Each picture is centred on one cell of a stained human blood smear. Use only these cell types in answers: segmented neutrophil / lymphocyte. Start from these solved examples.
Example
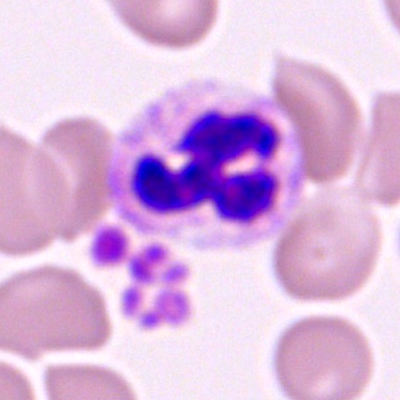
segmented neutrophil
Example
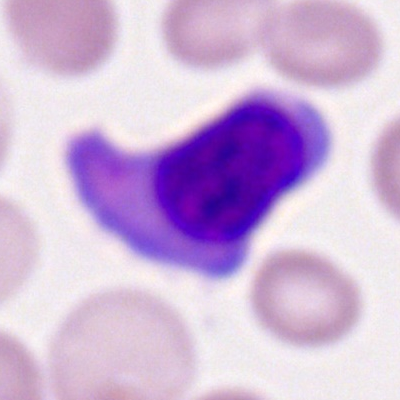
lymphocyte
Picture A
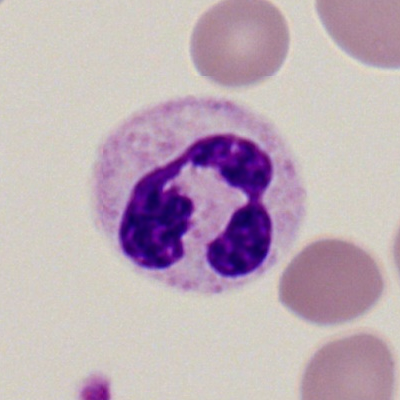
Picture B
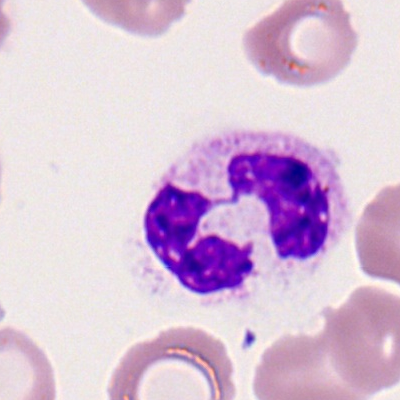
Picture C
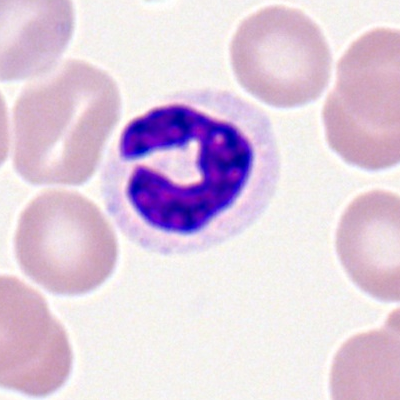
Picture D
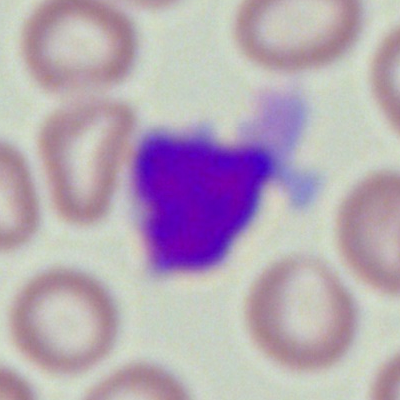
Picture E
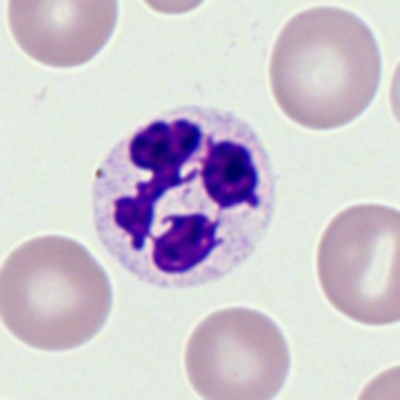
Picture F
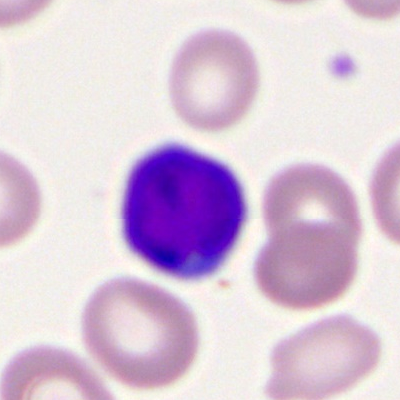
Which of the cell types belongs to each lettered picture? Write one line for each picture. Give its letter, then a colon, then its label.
A: segmented neutrophil
B: segmented neutrophil
C: segmented neutrophil
D: lymphocyte
E: segmented neutrophil
F: lymphocyte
